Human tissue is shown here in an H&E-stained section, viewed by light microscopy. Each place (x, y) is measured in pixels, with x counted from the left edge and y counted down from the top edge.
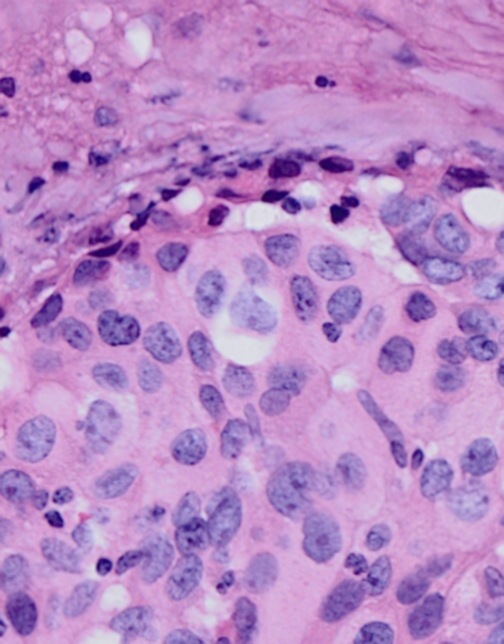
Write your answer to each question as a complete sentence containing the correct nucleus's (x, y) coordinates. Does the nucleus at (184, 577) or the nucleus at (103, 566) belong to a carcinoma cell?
The nucleus positioned at (184, 577) is the one that belongs to a carcinoma cell.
